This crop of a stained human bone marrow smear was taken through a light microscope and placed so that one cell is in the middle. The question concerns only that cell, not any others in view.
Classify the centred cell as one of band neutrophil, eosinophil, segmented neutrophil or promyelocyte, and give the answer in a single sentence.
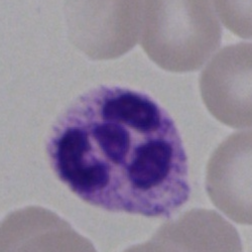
The crop shows a segmented neutrophil in its centre.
